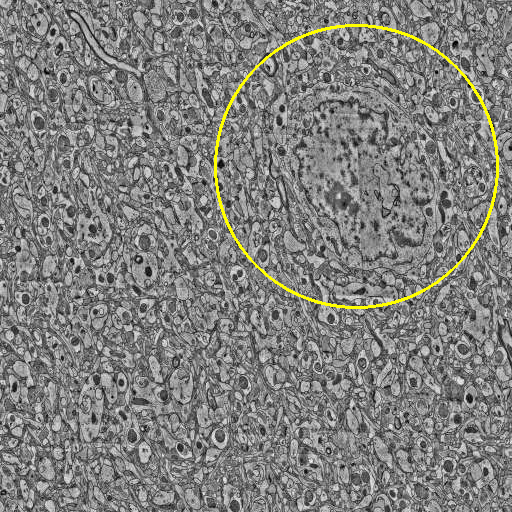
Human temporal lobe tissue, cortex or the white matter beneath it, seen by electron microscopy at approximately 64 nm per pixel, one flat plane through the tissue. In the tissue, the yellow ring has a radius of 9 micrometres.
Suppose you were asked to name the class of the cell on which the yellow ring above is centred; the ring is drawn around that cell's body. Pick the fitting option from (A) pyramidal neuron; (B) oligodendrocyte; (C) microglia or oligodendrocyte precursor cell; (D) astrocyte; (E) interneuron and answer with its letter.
E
